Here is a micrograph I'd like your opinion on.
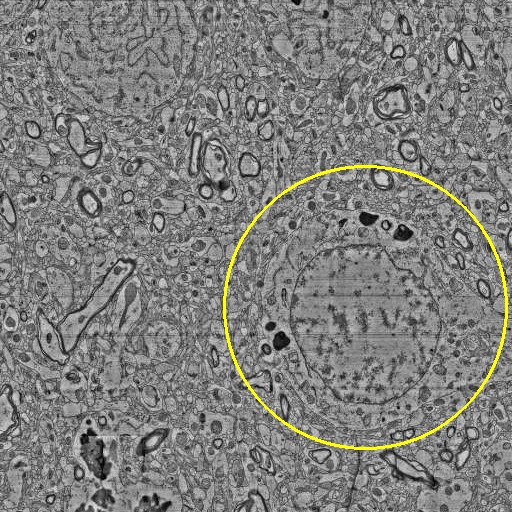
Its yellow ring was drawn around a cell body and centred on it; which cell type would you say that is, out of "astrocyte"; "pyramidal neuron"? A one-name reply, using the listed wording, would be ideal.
pyramidal neuron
